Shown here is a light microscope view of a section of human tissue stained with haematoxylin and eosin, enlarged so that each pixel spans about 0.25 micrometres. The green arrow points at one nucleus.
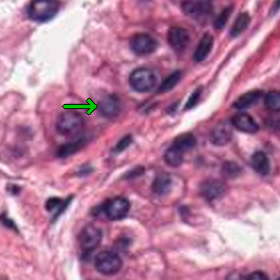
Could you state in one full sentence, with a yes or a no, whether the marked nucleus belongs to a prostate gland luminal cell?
Yes, a prostate gland luminal cell is the cell to which the marked nucleus belongs.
